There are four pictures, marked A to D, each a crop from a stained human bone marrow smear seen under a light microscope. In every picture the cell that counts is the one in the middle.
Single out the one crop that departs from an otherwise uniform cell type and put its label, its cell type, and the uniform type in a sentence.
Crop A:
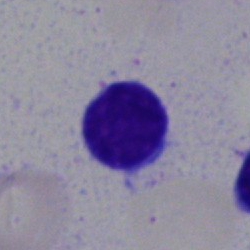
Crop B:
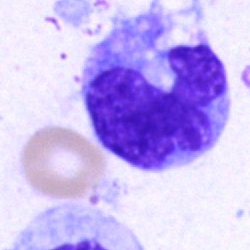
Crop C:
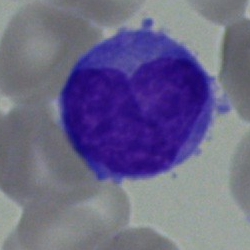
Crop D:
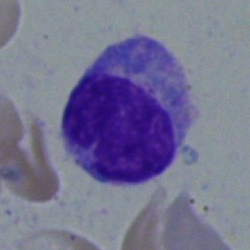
Crop A is not like the others: it is a lymphocyte, and they are monocytes.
